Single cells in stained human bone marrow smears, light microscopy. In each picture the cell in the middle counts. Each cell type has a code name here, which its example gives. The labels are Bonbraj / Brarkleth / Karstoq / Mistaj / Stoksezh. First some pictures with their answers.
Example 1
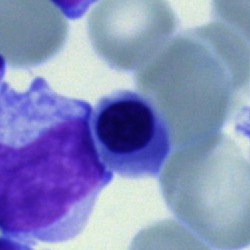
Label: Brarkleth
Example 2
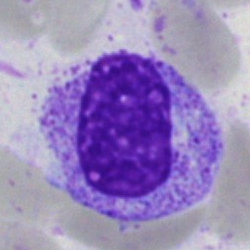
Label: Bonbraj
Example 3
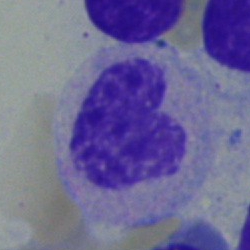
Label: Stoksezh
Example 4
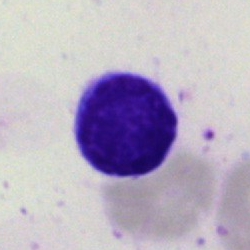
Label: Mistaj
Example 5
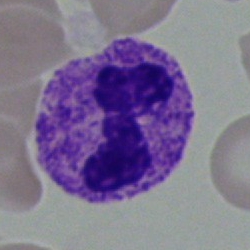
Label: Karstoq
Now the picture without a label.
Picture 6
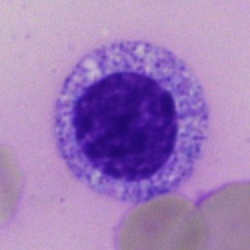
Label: Bonbraj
